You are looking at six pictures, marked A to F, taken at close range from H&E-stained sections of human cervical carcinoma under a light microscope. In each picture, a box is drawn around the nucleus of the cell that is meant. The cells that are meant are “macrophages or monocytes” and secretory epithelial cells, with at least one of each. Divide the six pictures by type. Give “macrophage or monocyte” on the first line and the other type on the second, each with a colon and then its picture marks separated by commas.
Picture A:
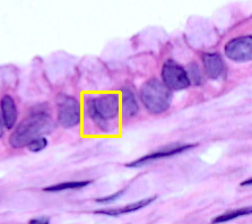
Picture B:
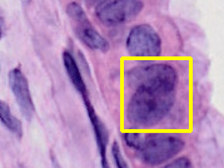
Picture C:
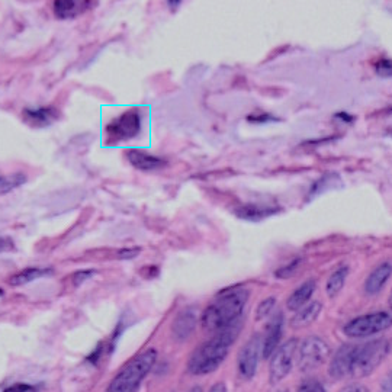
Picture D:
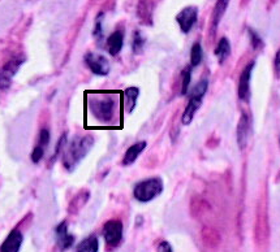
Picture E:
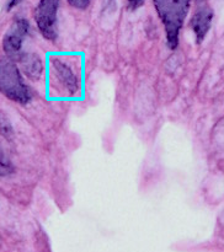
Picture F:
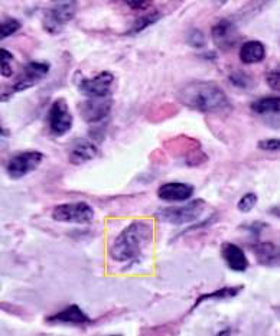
macrophage or monocyte: C, D, F
secretory epithelial cell: A, B, E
